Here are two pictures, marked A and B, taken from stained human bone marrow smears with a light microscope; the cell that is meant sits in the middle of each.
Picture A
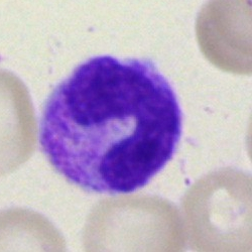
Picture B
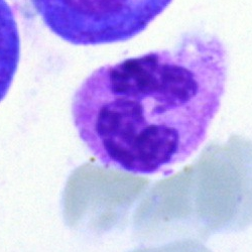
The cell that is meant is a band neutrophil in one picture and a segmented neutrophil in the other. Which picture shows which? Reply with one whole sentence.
In picture A the cell is a band neutrophil; in picture B, a segmented neutrophil.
